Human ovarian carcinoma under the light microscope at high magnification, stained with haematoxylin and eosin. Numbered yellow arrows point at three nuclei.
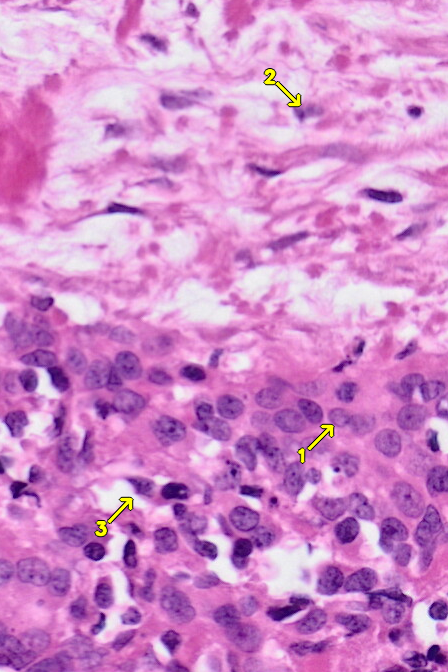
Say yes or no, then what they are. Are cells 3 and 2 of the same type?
No, cell 3 is a carcinoma cell, and as for cell 2, it is a fibroblast.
